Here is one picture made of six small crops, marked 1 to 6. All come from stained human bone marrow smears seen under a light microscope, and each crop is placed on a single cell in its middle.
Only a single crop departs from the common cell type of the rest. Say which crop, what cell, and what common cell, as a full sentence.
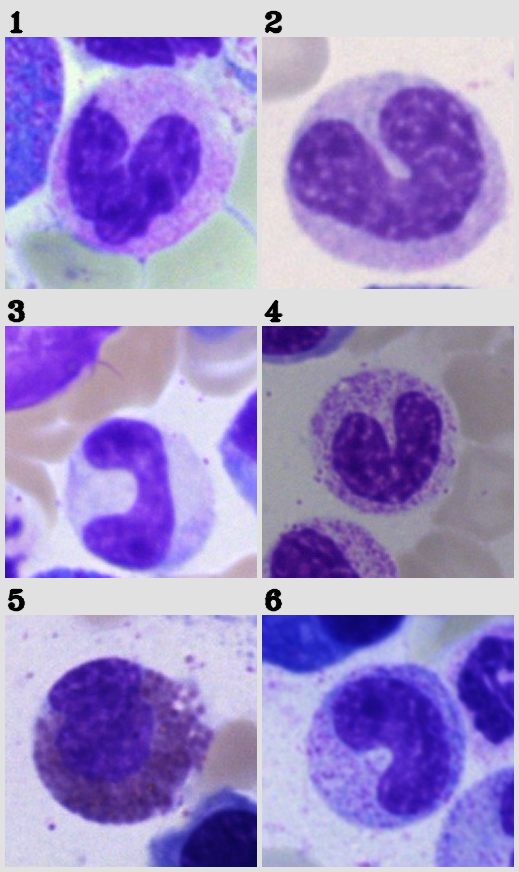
Although the other crops all show band neutrophils, crop 5 shows an eosinophil.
